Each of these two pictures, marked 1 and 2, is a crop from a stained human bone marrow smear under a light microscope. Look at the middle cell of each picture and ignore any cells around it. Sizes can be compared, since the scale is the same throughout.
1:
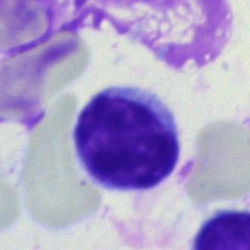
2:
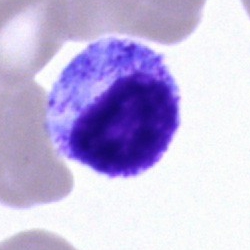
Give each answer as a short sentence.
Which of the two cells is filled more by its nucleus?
Of the two, the nucleus in crop 1 makes up the greater part of its cell.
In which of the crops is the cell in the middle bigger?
The cell in crop 2 is larger, with about 1.5 times the area of the one in crop 1.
